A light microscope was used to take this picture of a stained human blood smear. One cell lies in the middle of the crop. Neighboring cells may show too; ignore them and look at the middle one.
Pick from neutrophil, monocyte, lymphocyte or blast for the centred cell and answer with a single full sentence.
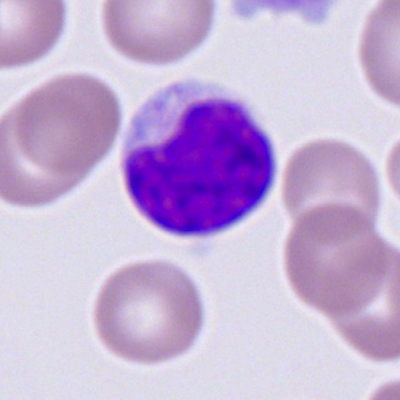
Framed in the middle of the crop is a lymphocyte.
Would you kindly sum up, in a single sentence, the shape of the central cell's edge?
Smooth edges only, with no spikes, blebs, or other projections.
